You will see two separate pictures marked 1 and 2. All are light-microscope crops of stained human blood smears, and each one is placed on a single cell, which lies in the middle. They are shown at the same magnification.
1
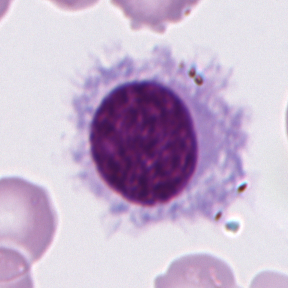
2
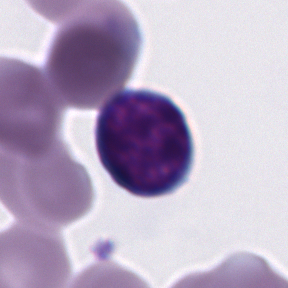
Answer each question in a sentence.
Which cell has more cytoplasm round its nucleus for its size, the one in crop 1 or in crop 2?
Of the two, the nucleus in crop 1 leaves more room for cytoplasm.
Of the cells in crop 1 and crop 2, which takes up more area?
Crop 1 holds the larger cell; it covers about 2.5 times the area of the cell in crop 2.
